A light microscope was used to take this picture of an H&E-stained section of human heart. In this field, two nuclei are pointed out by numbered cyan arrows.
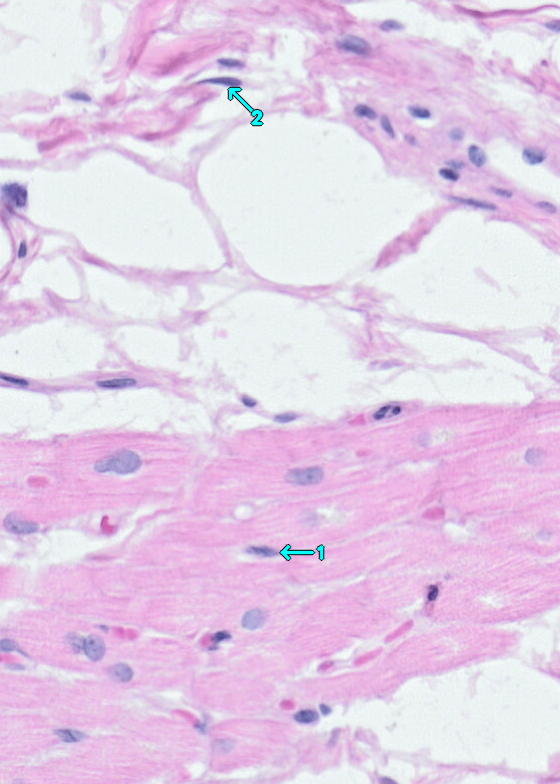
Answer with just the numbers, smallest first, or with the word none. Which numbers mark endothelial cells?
1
